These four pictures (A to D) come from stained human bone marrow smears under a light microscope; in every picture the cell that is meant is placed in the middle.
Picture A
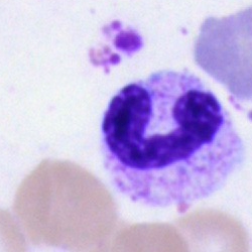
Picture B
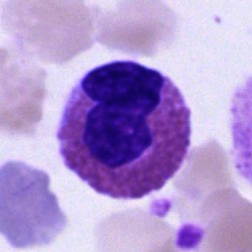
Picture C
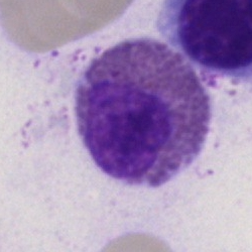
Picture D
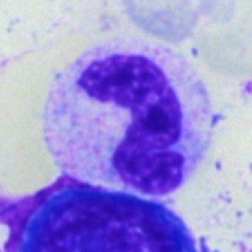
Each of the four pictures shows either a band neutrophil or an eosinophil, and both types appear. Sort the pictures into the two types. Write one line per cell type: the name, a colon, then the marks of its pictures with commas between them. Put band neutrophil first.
band neutrophil: A, D
eosinophil: B, C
